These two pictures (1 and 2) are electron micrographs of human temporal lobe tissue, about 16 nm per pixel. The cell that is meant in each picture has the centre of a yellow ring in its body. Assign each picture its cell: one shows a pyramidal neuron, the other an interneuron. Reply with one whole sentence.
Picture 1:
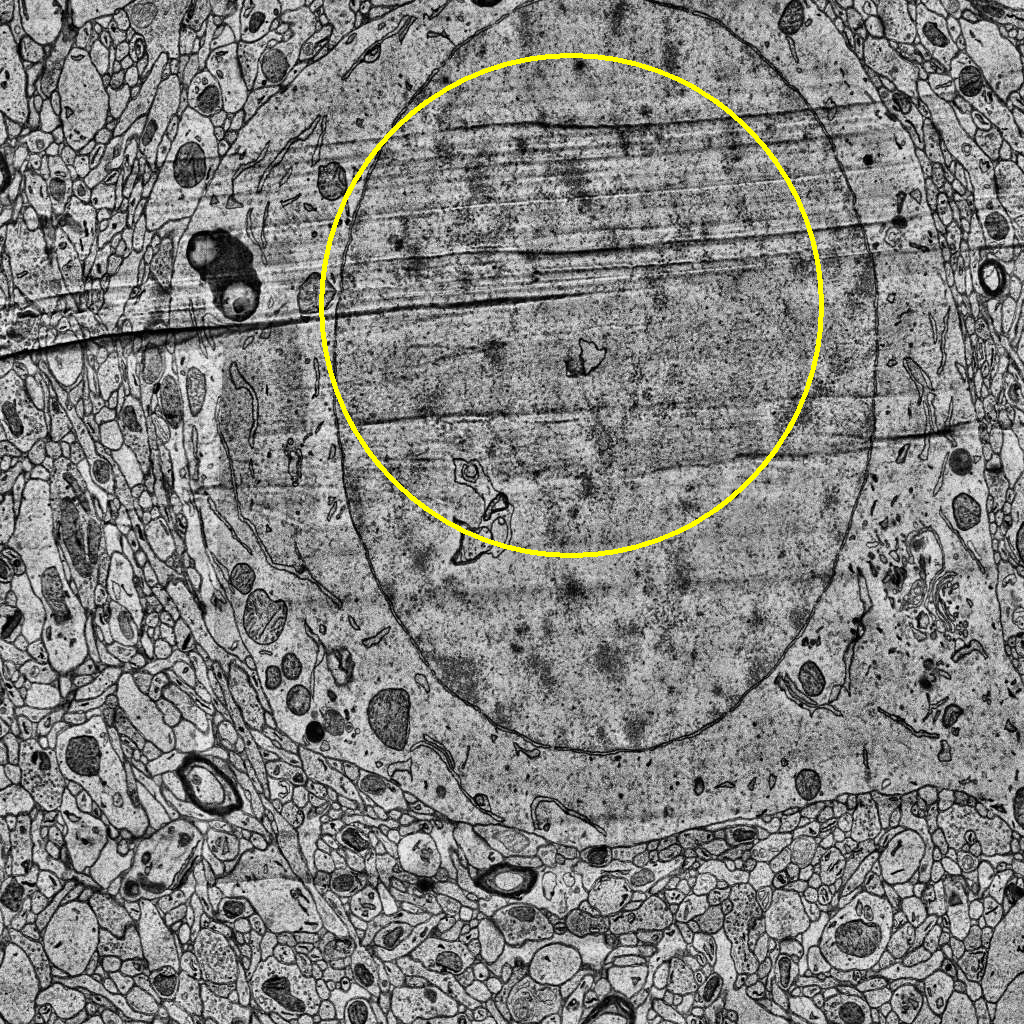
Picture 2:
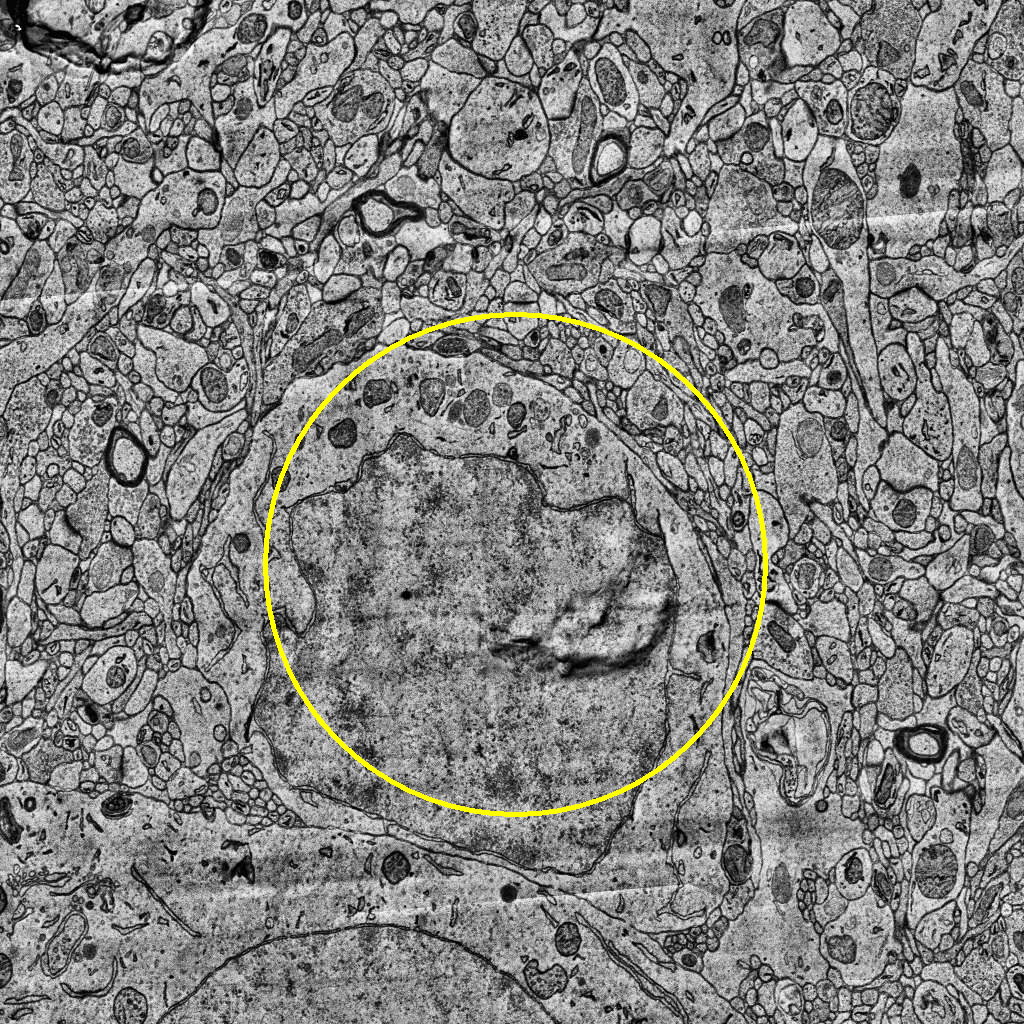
Picture 1 is of a pyramidal neuron, and picture 2 is of an interneuron.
